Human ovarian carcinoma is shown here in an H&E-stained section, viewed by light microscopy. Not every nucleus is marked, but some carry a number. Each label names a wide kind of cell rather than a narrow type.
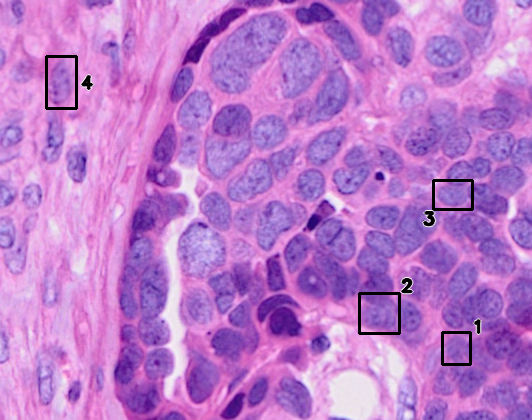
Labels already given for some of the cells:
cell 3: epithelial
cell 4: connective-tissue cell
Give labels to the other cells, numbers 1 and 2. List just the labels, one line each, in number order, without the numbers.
epithelial
epithelial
